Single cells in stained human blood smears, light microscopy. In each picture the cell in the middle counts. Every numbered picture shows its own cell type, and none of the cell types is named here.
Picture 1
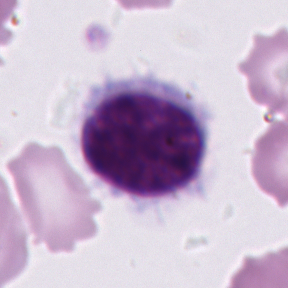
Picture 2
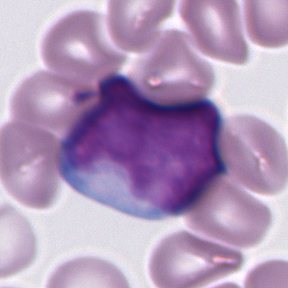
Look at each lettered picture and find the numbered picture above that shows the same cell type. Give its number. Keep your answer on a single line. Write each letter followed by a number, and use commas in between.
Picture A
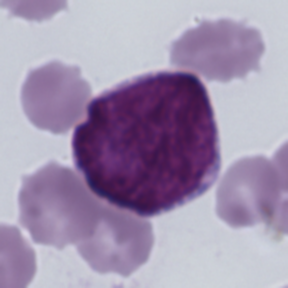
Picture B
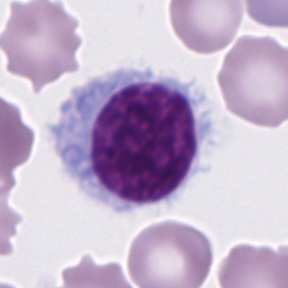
A 2, B 1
